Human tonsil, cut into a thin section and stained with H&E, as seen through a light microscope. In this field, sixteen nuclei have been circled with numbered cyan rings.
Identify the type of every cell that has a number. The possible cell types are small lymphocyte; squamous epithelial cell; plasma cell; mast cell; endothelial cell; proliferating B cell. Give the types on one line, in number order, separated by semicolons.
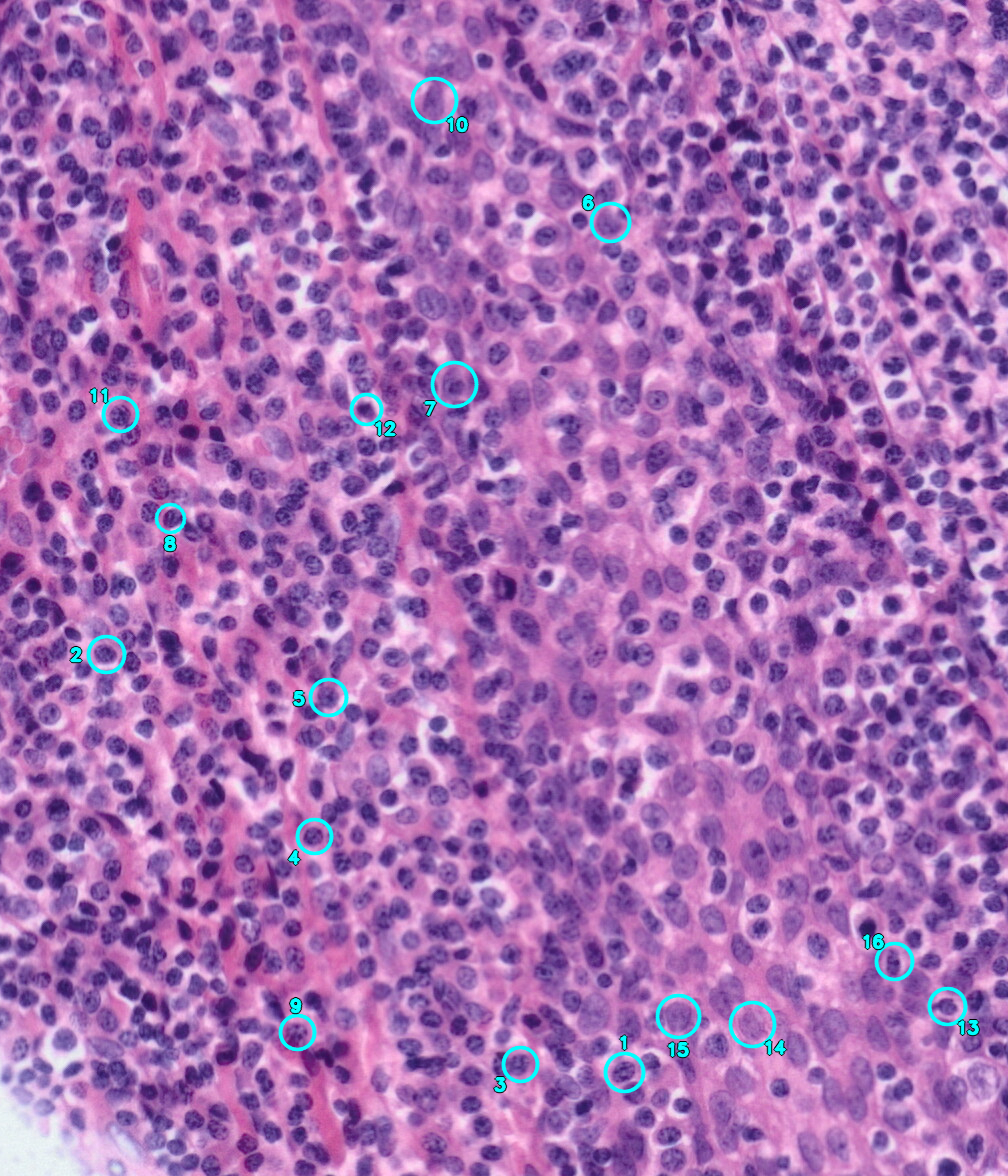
plasma cell; plasma cell; plasma cell; plasma cell; plasma cell; squamous epithelial cell; squamous epithelial cell; plasma cell; plasma cell; squamous epithelial cell; plasma cell; plasma cell; squamous epithelial cell; squamous epithelial cell; squamous epithelial cell; squamous epithelial cell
